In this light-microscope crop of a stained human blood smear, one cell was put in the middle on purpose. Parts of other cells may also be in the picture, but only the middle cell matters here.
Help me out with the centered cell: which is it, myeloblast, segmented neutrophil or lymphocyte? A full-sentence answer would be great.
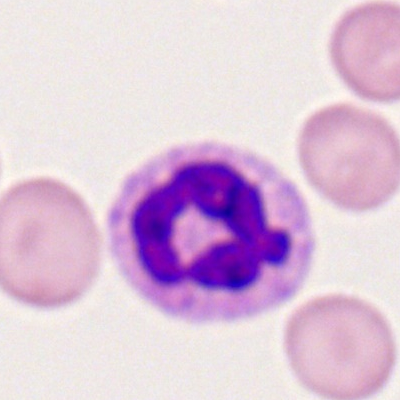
The centrally positioned cell in the crop represents a segmented neutrophil.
